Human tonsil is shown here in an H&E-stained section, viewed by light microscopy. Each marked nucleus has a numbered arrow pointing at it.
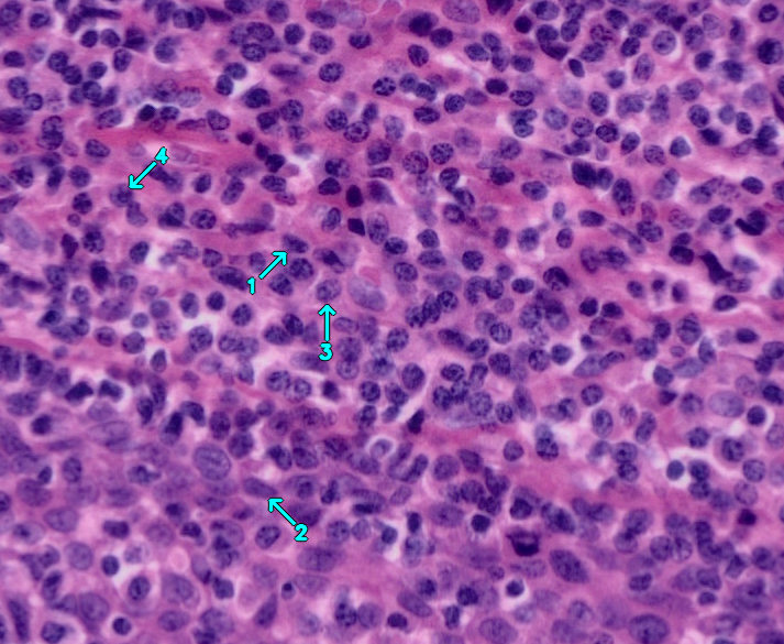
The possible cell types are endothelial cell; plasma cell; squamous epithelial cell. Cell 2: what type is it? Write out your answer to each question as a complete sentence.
In this section, the cell numbered 2 is a squamous epithelial cell.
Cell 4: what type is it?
The nucleus labeled 4 belongs to a plasma cell.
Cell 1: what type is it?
The cell pointed out by number 1 is a plasma cell.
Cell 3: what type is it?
The numbered cell 3 is identified here as a plasma cell.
